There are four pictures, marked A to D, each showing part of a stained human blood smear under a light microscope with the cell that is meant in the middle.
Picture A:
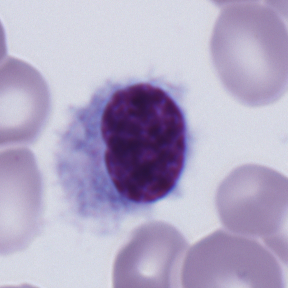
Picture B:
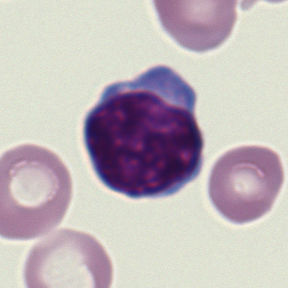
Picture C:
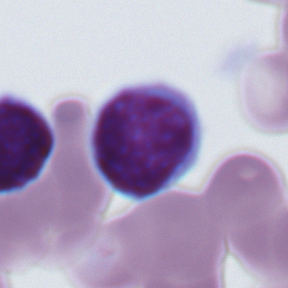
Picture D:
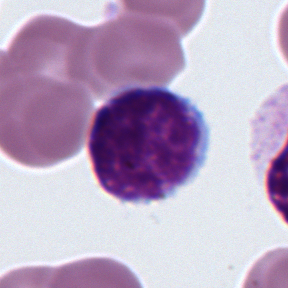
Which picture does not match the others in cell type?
A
